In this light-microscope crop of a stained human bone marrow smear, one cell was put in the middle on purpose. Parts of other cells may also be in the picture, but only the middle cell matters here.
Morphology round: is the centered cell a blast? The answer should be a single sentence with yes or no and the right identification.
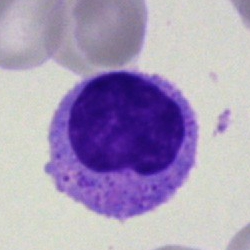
No, the centrally placed cell is a myelocyte, not a blast.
